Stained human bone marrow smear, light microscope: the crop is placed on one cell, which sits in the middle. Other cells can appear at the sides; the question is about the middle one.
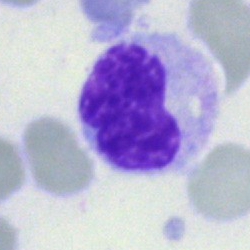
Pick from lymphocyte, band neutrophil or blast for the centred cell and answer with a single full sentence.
This crop's central cell is a band neutrophil.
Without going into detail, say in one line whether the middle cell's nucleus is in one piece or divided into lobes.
The cell carries one compact nucleus shaped round, oval or like a kidney.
